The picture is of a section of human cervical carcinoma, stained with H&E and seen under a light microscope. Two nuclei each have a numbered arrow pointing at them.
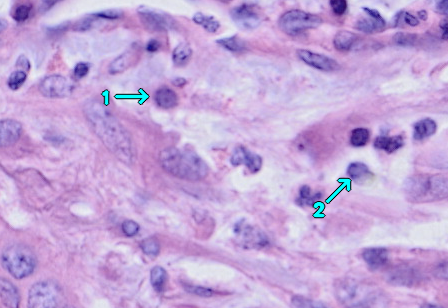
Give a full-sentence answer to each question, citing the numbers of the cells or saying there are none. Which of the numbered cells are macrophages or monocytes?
Only the cell carrying number 1 is a macrophage or monocyte.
